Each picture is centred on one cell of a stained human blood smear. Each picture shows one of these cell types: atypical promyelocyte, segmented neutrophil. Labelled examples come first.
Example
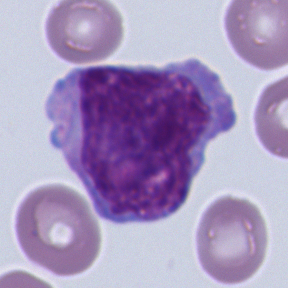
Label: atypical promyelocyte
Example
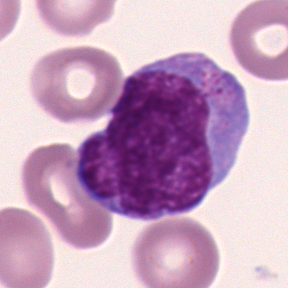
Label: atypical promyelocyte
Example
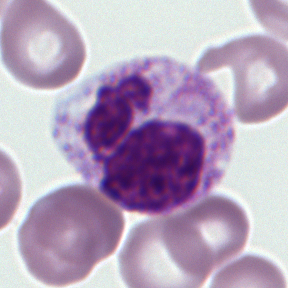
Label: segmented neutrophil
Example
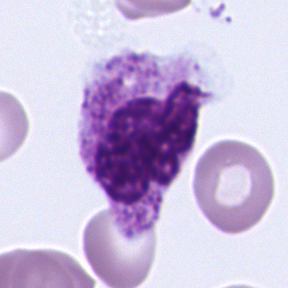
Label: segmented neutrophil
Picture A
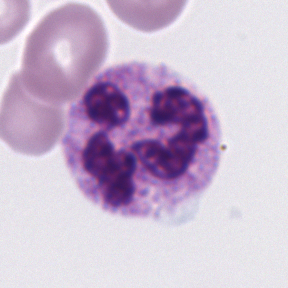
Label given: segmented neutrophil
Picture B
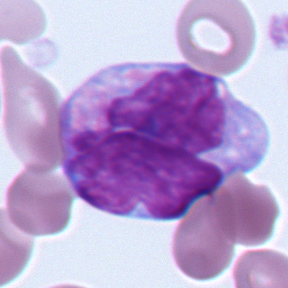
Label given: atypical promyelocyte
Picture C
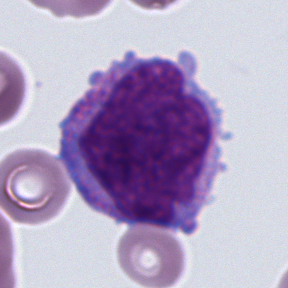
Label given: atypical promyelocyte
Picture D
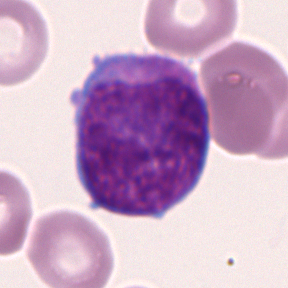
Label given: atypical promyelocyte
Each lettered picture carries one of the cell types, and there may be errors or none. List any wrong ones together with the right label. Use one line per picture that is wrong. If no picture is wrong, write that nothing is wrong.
All correct.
